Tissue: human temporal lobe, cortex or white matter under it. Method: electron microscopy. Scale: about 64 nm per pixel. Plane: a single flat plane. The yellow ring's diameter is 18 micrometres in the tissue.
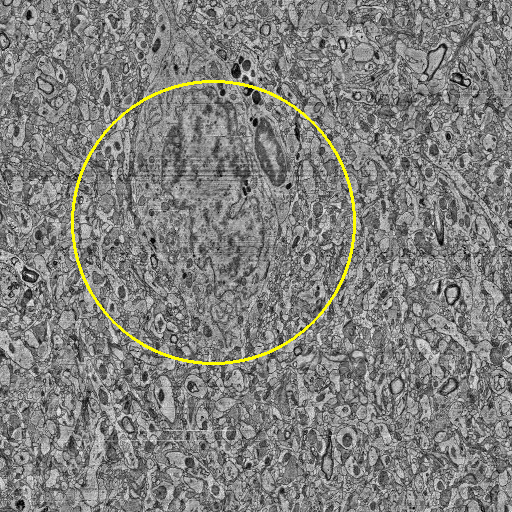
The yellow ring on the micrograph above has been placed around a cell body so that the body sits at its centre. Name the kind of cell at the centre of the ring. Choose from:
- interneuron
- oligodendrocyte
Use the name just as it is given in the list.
interneuron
